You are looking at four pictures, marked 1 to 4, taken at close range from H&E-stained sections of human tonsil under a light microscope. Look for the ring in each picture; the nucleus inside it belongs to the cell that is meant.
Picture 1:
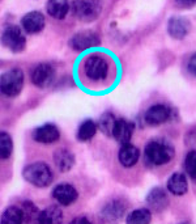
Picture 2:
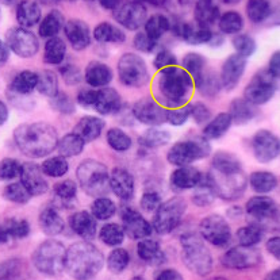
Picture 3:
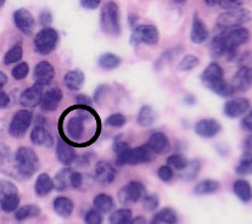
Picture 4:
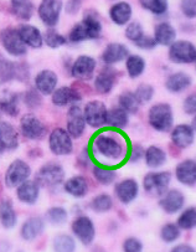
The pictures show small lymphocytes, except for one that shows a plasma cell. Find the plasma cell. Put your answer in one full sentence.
The picture with the plasma cell is 1.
